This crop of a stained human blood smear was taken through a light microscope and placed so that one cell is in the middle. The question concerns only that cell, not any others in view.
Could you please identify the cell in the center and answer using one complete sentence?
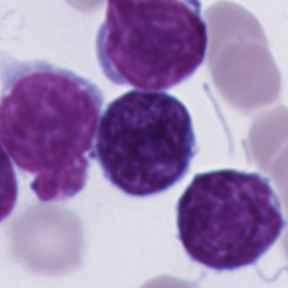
Positioned in the middle of the crop is a myeloblast.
